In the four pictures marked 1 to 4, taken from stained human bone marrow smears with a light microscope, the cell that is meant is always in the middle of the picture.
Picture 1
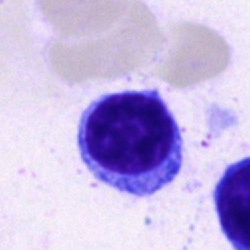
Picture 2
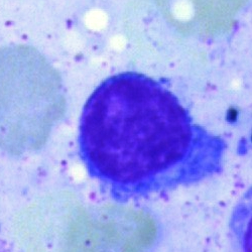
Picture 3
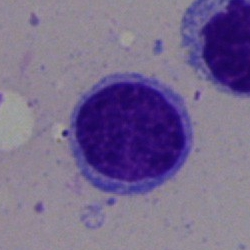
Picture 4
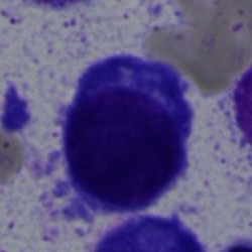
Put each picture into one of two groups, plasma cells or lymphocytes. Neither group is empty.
1: lymphocyte
2: lymphocyte
3: lymphocyte
4: plasma cell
